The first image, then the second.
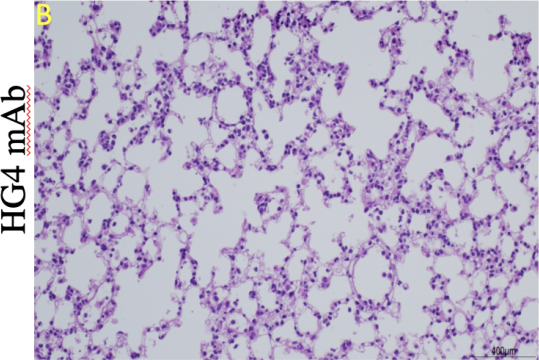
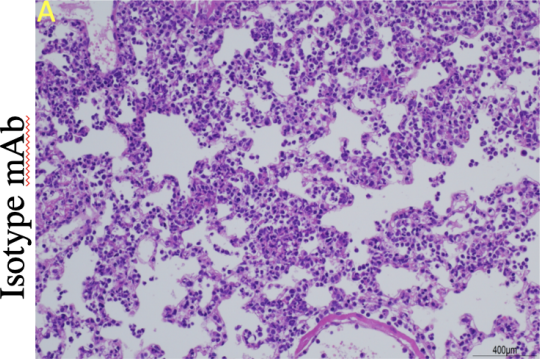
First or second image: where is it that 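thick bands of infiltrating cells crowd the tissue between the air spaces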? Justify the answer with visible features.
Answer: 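The second image. First image: thin septa with sparse nuclei surround wide open air spaces. Second image: broad cords of densely packed dark-nucleated cells narrow the air spaces.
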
